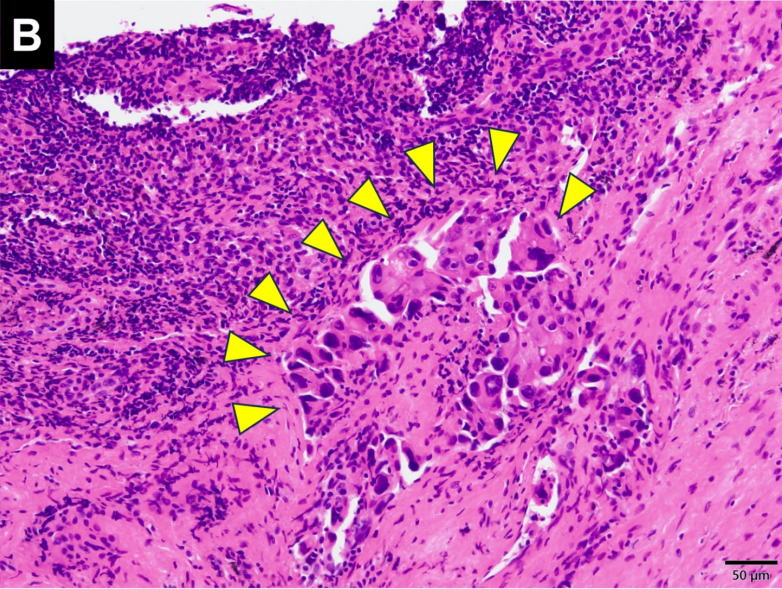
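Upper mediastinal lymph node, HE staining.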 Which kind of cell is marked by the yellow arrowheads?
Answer: Atypical cells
